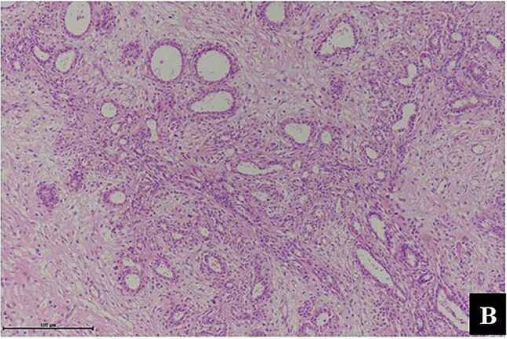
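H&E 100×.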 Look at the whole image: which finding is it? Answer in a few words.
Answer: Sclerosing adenosis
